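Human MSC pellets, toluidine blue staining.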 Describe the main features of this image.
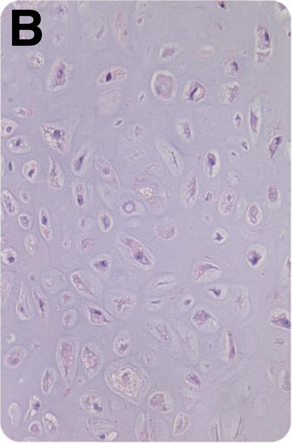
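Cartilage-like tissue formed by chondrocytes is shown. Rounded to oval cells lie singly, each in a clear space or lacuna, scattered through an abundant pale homogeneous matrix. Their nuclei are small and purple, and the cytoplasm is pale, sometimes shrunken away from the edge of the lacuna. The cells are fairly evenly spaced without forming layers.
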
